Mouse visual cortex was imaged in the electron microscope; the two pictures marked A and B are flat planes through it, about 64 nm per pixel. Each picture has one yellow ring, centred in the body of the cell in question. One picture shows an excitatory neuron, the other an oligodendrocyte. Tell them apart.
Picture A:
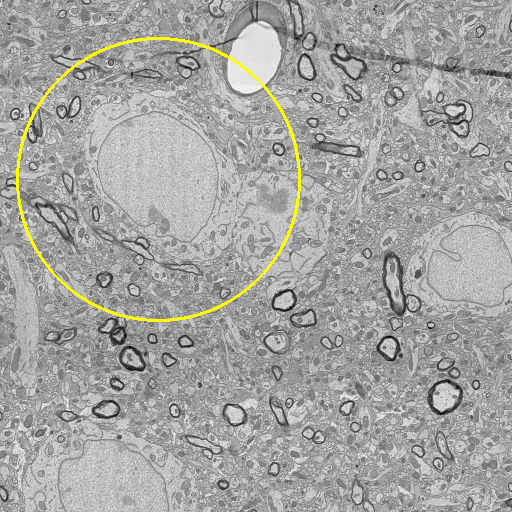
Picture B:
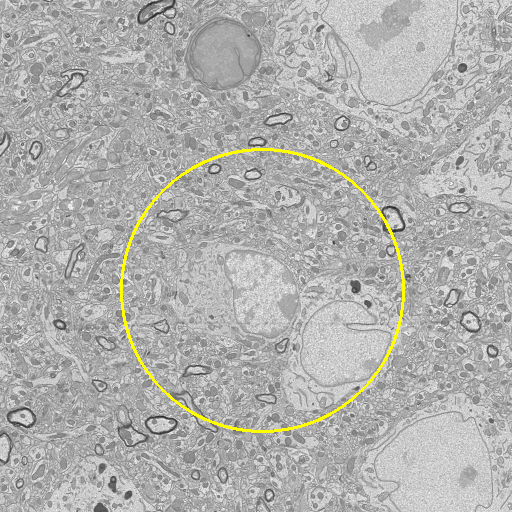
Picture B shows an oligodendrocyte, while picture A shows an excitatory neuron.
